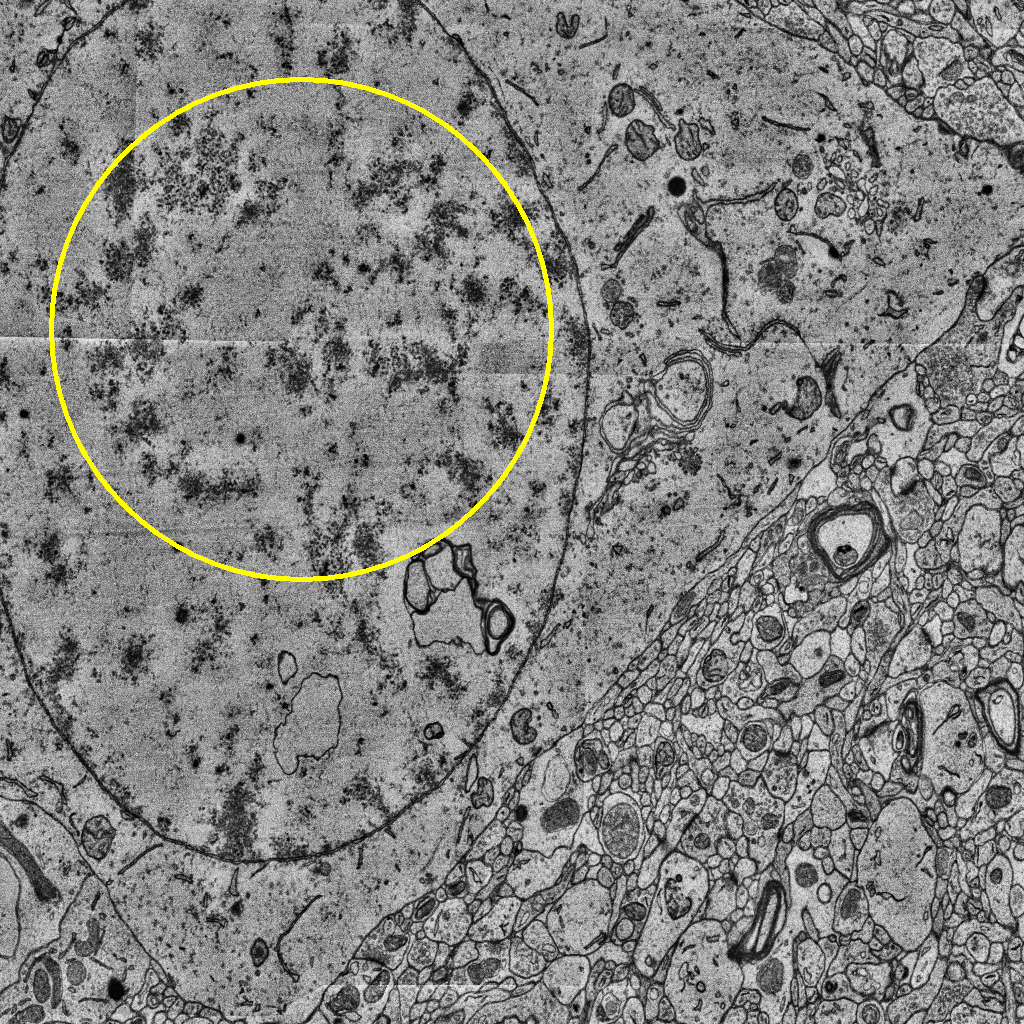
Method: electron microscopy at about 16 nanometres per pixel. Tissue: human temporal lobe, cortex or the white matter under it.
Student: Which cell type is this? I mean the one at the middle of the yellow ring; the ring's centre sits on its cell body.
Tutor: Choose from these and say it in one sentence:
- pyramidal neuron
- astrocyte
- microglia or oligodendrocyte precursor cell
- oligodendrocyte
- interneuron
The cell at the ring's centre is a pyramidal neuron.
